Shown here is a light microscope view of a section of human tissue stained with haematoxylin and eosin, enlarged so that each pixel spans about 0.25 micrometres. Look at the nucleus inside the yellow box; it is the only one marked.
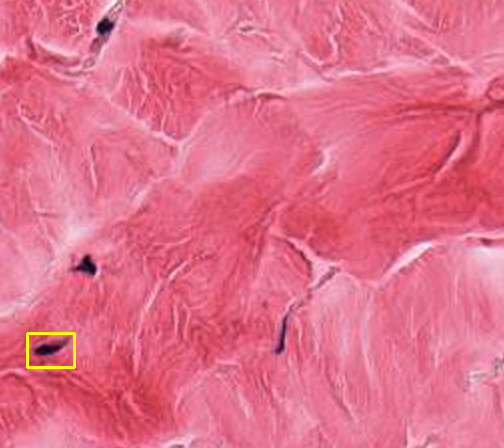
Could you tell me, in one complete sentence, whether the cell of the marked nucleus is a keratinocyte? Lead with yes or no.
No, the owner of the marked nucleus is a supporting cell, not a keratinocyte.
